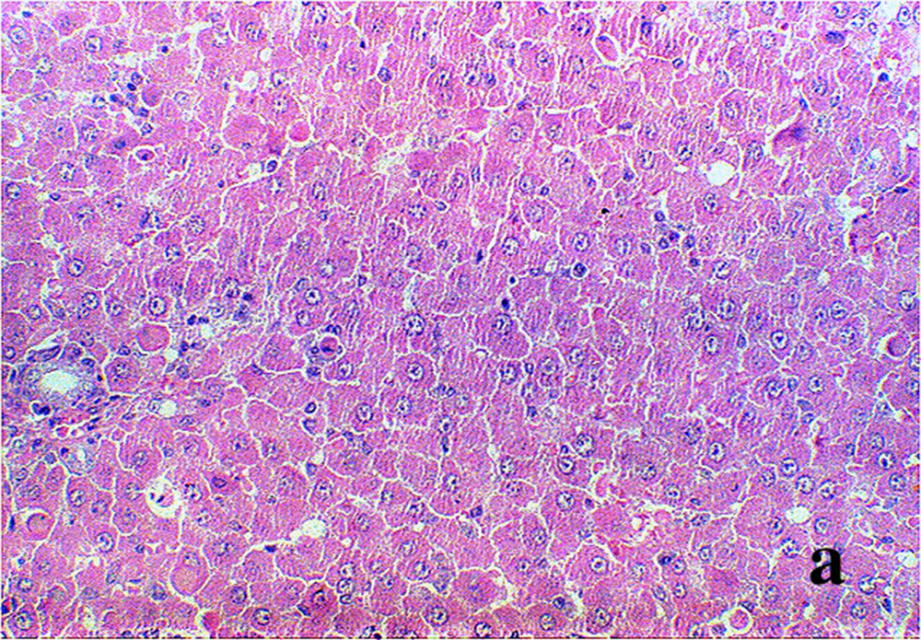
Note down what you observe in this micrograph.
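This section of liver is made up of hepatocytes arranged in plates that run across the field. The hepatocytes are large, polygonal cells with evenly pink cytoplasm. Narrow clear slits of sinusoid lie between the plates, and a few smaller, darker nuclei lie along them. A small vessel surrounded by cells lies at the left edge.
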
